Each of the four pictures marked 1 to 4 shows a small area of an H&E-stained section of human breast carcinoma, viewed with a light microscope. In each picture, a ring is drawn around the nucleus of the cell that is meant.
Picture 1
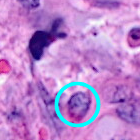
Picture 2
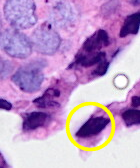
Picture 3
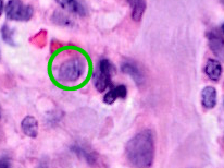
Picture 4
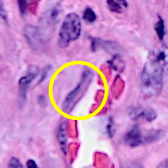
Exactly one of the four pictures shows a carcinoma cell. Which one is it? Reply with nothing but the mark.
2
